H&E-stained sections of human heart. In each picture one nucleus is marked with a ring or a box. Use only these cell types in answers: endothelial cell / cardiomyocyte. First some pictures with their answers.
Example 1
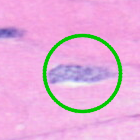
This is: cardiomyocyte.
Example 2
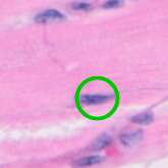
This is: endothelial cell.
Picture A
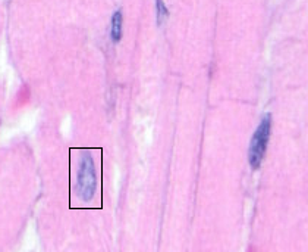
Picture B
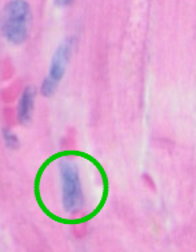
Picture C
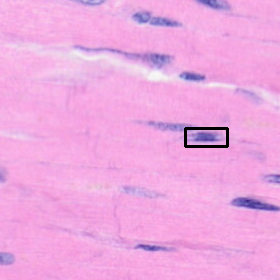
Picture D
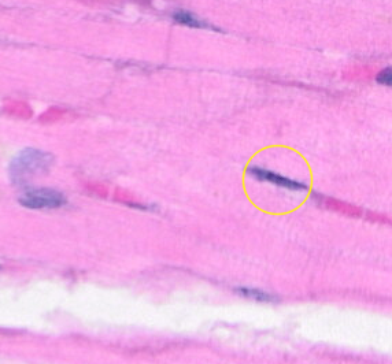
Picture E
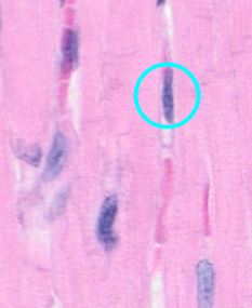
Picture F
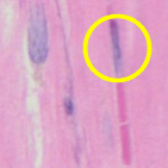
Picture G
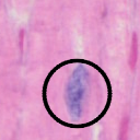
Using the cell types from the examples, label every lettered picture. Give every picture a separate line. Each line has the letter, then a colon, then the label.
A: cardiomyocyte.
B: endothelial cell.
C: endothelial cell.
D: endothelial cell.
E: endothelial cell.
F: endothelial cell.
G: cardiomyocyte.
